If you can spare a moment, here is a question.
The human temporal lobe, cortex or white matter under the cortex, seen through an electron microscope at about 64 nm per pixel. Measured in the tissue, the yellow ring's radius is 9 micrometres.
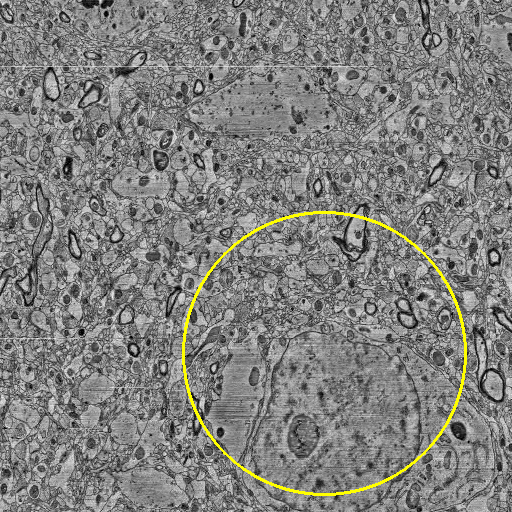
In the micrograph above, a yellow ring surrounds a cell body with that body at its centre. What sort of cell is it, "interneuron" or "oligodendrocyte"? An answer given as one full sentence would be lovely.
Centred inside the yellow ring, the cell body shown belongs to an interneuron in this micrograph.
